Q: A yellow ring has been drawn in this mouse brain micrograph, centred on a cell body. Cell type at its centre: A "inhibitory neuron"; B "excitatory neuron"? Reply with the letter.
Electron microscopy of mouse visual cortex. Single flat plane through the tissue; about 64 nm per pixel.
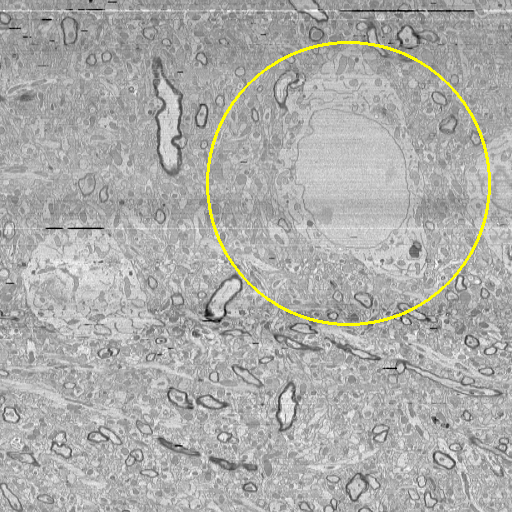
B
